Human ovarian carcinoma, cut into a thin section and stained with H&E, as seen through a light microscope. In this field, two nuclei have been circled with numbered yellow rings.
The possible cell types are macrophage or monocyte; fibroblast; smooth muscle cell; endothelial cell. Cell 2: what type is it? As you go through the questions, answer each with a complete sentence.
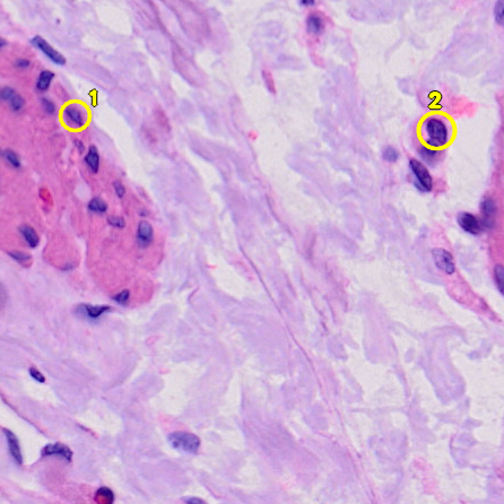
The nucleus marked 2 is the nucleus of an endothelial cell.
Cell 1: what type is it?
In this section, the cell tagged 1 is a smooth muscle cell.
